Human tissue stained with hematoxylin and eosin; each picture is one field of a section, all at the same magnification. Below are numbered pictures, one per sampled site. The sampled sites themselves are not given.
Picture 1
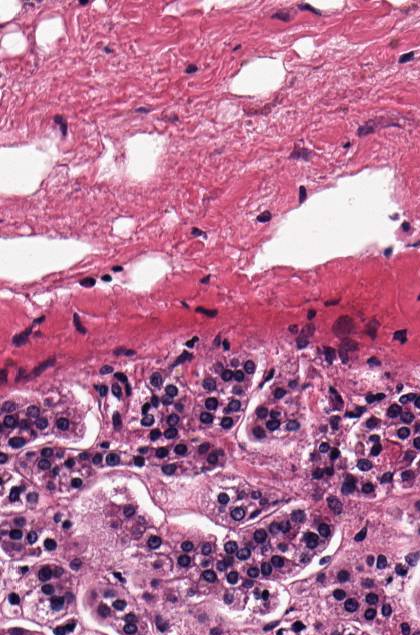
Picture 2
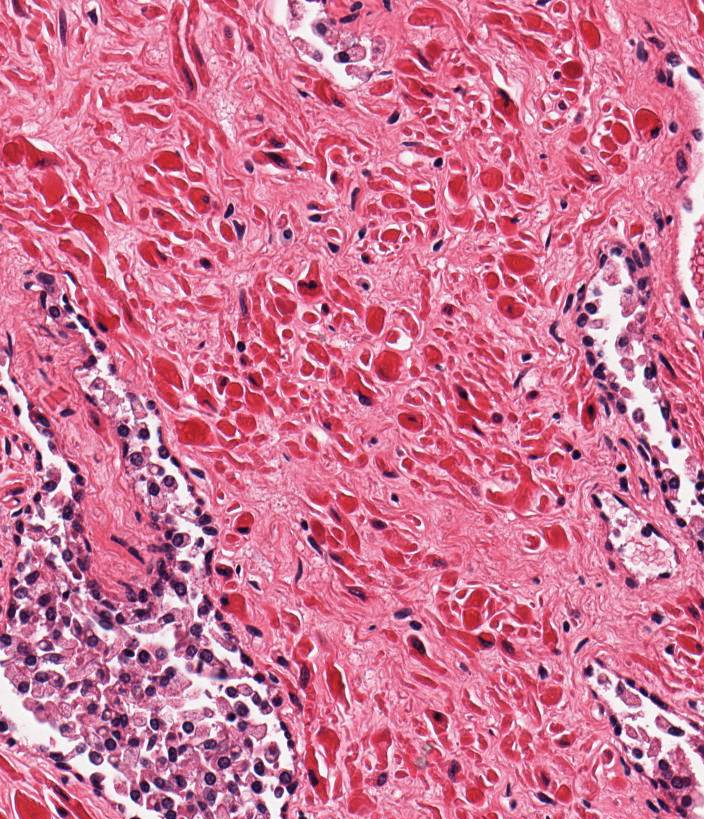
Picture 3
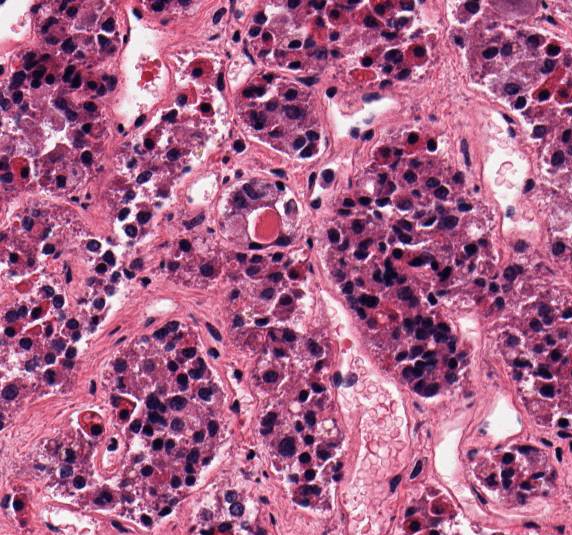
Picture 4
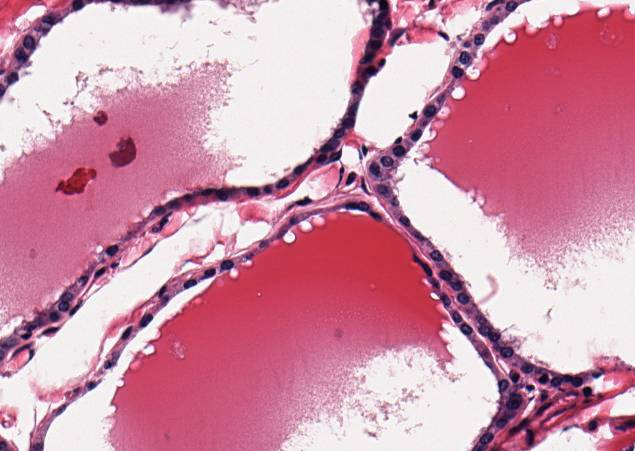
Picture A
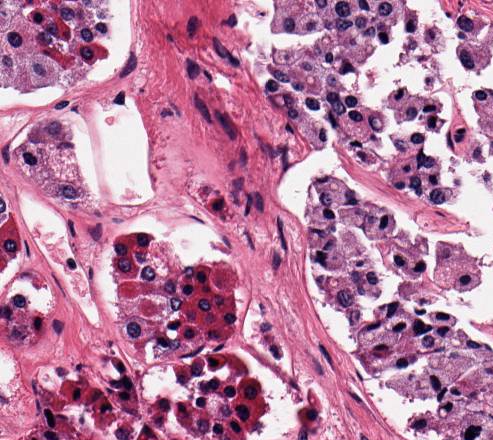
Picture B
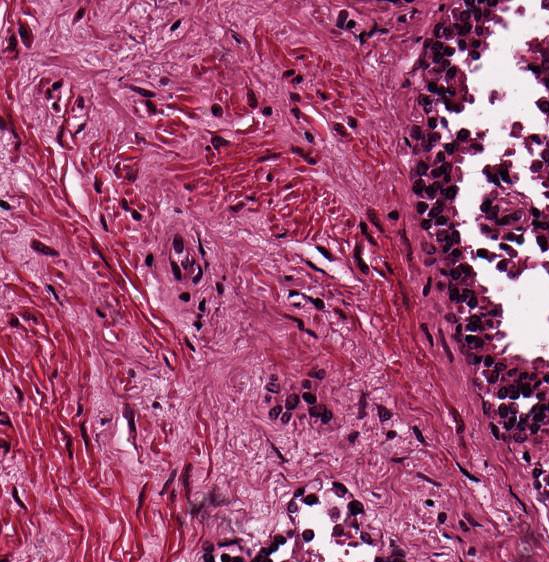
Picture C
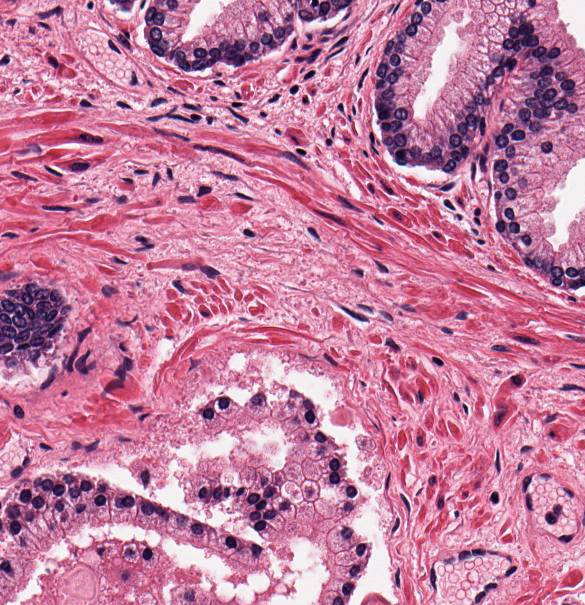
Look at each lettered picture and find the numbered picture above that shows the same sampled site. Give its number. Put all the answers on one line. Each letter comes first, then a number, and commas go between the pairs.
A 3, B 2, C 2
